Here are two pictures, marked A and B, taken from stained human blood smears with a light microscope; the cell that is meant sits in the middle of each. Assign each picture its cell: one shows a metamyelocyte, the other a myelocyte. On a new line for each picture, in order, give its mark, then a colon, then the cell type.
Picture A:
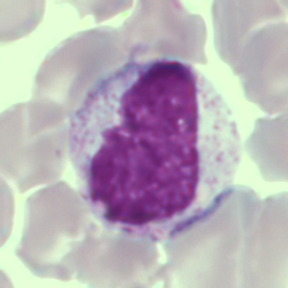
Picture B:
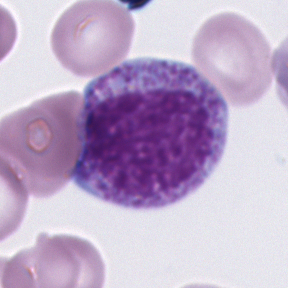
A: metamyelocyte
B: myelocyte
